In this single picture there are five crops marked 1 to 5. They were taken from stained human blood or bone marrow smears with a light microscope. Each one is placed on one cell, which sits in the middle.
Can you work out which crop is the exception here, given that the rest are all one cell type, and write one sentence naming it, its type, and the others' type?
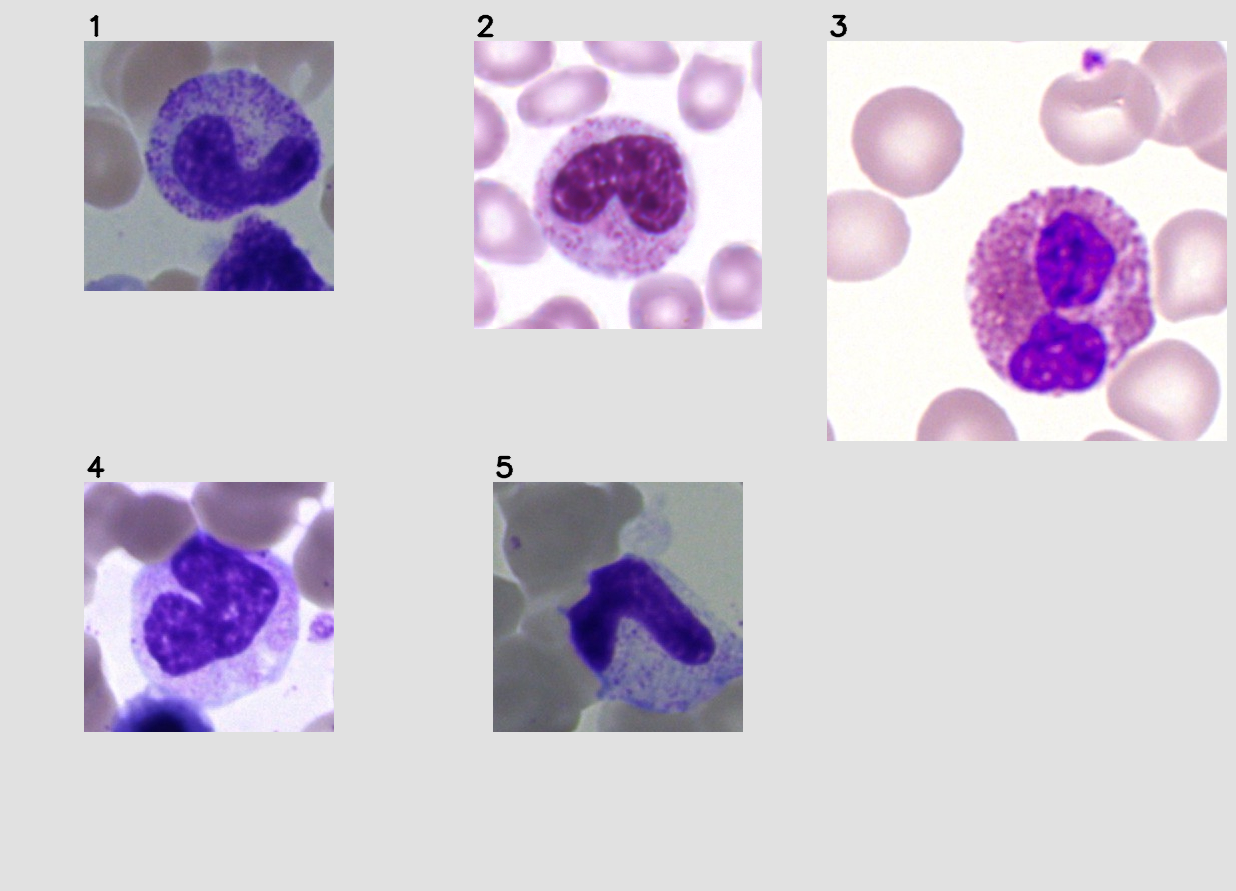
Crop 3 is the exception in this set, showing an eosinophil while the others show band neutrophils.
